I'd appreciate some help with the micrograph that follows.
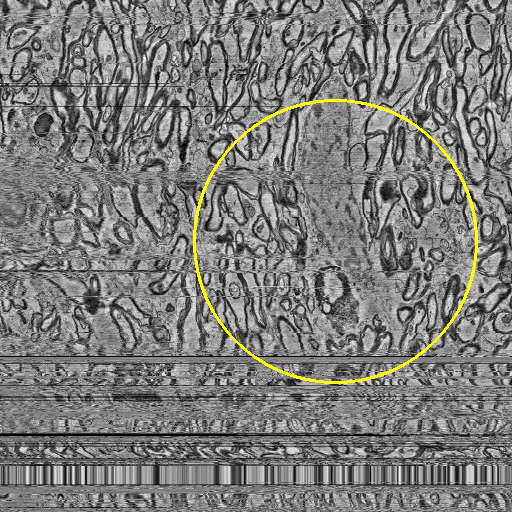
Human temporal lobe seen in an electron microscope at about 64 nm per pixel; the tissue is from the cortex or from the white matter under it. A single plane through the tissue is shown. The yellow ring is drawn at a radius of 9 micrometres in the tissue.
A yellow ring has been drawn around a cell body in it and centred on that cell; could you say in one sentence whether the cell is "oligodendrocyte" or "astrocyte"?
It is an astrocyte at the centre of the ring.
